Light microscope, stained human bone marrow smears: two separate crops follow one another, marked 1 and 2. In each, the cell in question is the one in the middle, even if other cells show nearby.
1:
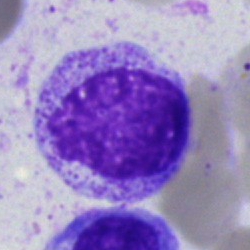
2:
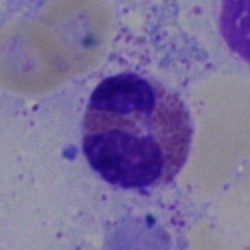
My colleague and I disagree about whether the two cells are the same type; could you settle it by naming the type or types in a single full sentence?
No, the cell centred in crop 1 is a myelocyte, and that centred in crop 2 is an eosinophil.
